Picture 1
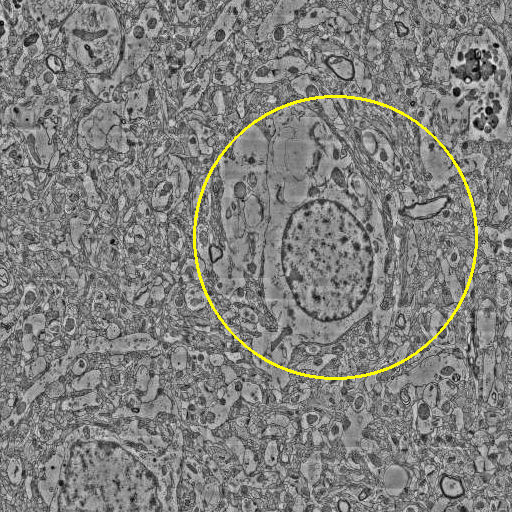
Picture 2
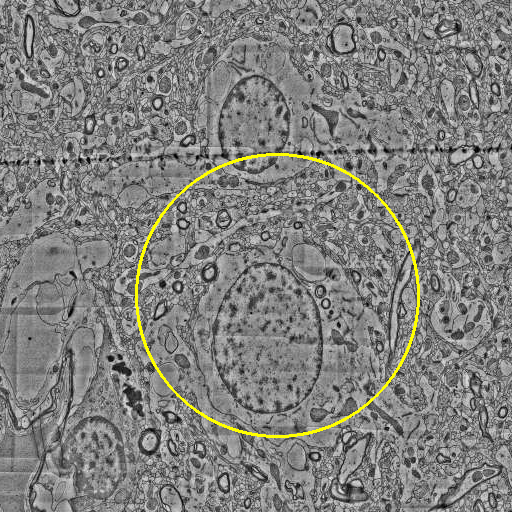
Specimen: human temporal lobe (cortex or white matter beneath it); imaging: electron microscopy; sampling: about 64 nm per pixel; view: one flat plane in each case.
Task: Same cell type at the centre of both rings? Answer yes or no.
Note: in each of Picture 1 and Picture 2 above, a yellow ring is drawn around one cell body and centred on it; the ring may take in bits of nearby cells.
yes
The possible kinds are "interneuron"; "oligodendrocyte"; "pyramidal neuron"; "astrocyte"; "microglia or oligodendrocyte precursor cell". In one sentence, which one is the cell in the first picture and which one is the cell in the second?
Each of the two cells is an astrocyte.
